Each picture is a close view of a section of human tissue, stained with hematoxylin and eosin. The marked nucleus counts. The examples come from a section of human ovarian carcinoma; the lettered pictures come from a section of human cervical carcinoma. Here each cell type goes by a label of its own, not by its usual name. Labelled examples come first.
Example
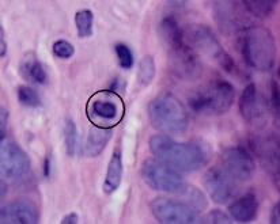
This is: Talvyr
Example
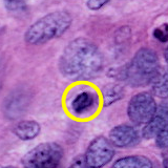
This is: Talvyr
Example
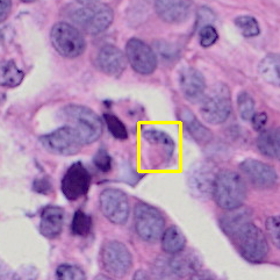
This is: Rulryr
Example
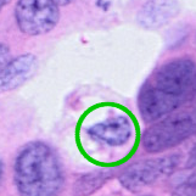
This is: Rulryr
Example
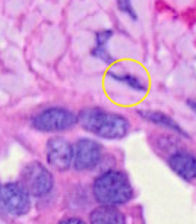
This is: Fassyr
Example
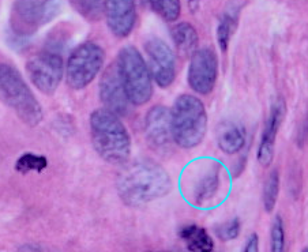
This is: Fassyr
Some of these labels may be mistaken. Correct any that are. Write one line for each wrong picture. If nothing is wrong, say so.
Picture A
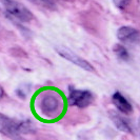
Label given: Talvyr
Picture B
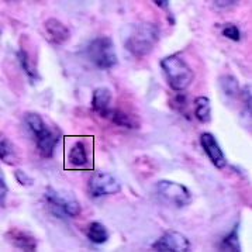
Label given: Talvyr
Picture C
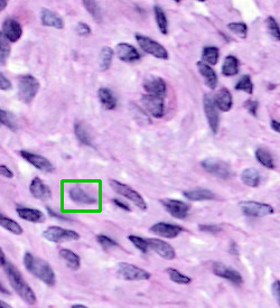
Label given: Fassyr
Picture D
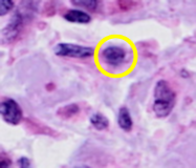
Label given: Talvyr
A is labelled Talvyr; correct label: Rulryr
